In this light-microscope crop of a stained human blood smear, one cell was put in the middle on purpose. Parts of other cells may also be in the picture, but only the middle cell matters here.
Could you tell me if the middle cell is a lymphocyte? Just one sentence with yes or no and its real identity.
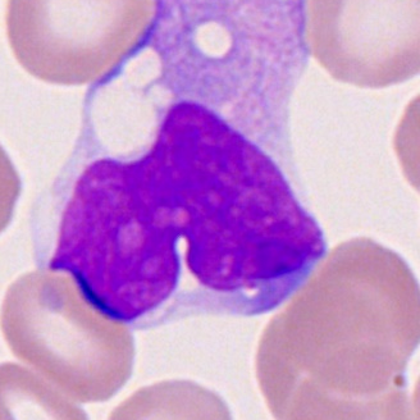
No, at the centre of this crop is found a monocyte instead of a lymphocyte.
